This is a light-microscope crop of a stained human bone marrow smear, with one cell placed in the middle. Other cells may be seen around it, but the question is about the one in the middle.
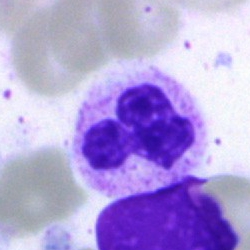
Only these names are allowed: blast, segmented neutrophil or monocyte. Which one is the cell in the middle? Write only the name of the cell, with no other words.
segmented neutrophil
